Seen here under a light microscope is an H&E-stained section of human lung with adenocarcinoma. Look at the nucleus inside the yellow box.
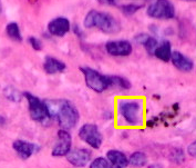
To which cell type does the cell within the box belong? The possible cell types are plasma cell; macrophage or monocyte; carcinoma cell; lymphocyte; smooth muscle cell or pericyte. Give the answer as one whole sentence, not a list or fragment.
Within the stained tissue, the cell within the box is a lymphocyte.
